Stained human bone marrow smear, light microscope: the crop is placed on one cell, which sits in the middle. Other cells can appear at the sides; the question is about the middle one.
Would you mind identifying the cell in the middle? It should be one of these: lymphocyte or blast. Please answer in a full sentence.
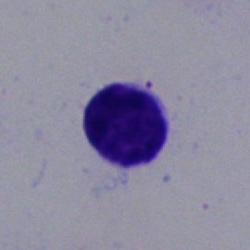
Whatever else lies nearby, the middle cell is a lymphocyte.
